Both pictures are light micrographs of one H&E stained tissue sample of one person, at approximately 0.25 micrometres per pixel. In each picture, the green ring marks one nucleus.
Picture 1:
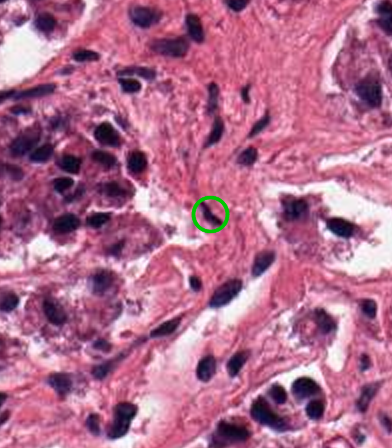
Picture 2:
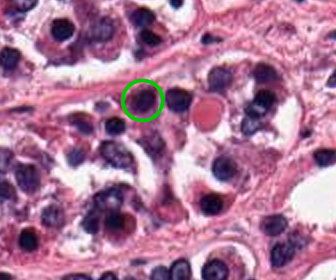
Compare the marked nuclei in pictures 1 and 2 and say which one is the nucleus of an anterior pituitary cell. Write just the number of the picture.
2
